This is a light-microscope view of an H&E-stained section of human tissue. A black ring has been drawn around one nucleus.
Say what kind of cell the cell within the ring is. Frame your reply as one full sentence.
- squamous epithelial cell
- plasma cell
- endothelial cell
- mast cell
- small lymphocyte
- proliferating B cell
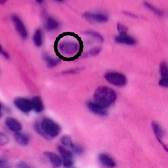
What the cell within the ring represents is an endothelial cell.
